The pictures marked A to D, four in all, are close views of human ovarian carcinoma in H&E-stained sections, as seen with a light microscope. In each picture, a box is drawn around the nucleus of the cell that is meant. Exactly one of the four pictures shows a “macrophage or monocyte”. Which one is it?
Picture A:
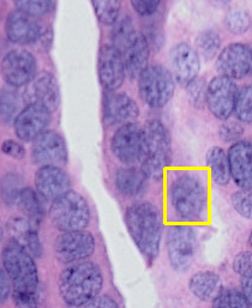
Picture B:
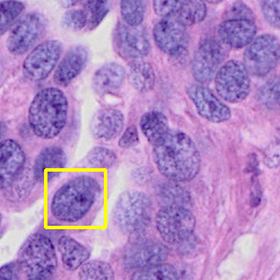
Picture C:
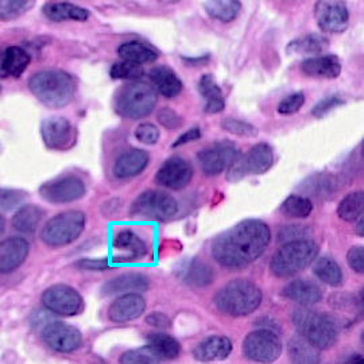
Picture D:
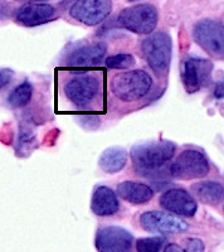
C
